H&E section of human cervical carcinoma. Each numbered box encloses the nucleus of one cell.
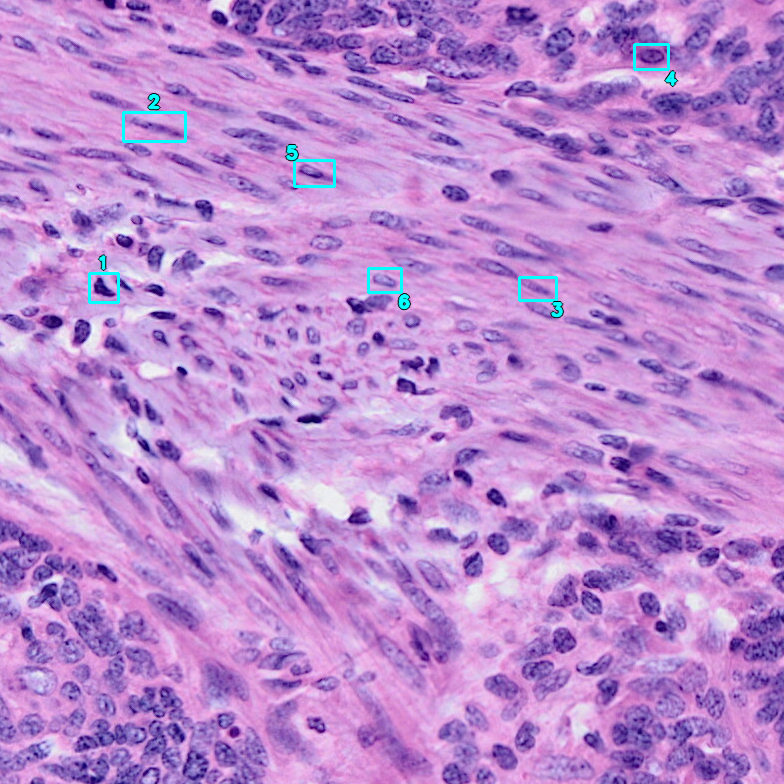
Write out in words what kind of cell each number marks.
Cell 1 is a lymphocyte, cell 2 is a smooth muscle cell, cell 3 is a smooth muscle cell, cell 4 is a squamous carcinoma cell, cell 5 is a smooth muscle cell and cell 6 is a smooth muscle cell.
